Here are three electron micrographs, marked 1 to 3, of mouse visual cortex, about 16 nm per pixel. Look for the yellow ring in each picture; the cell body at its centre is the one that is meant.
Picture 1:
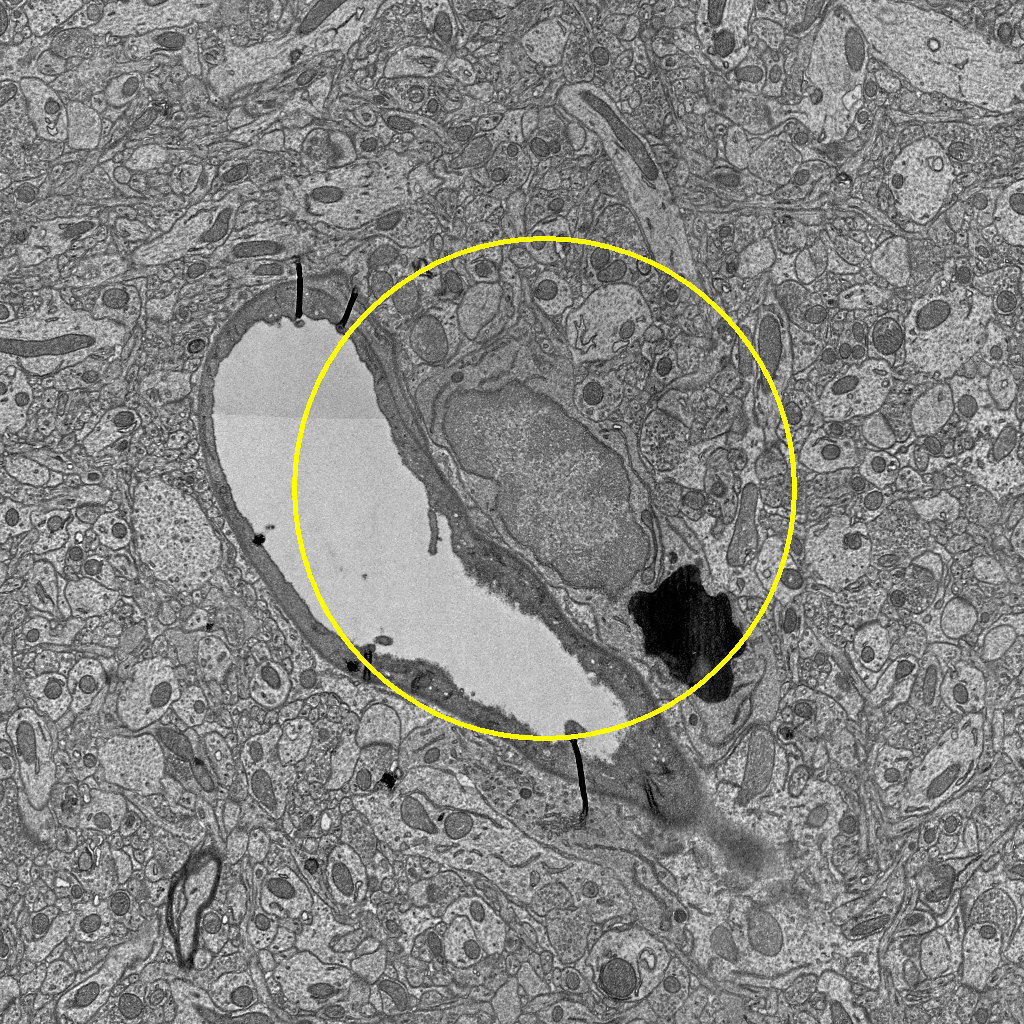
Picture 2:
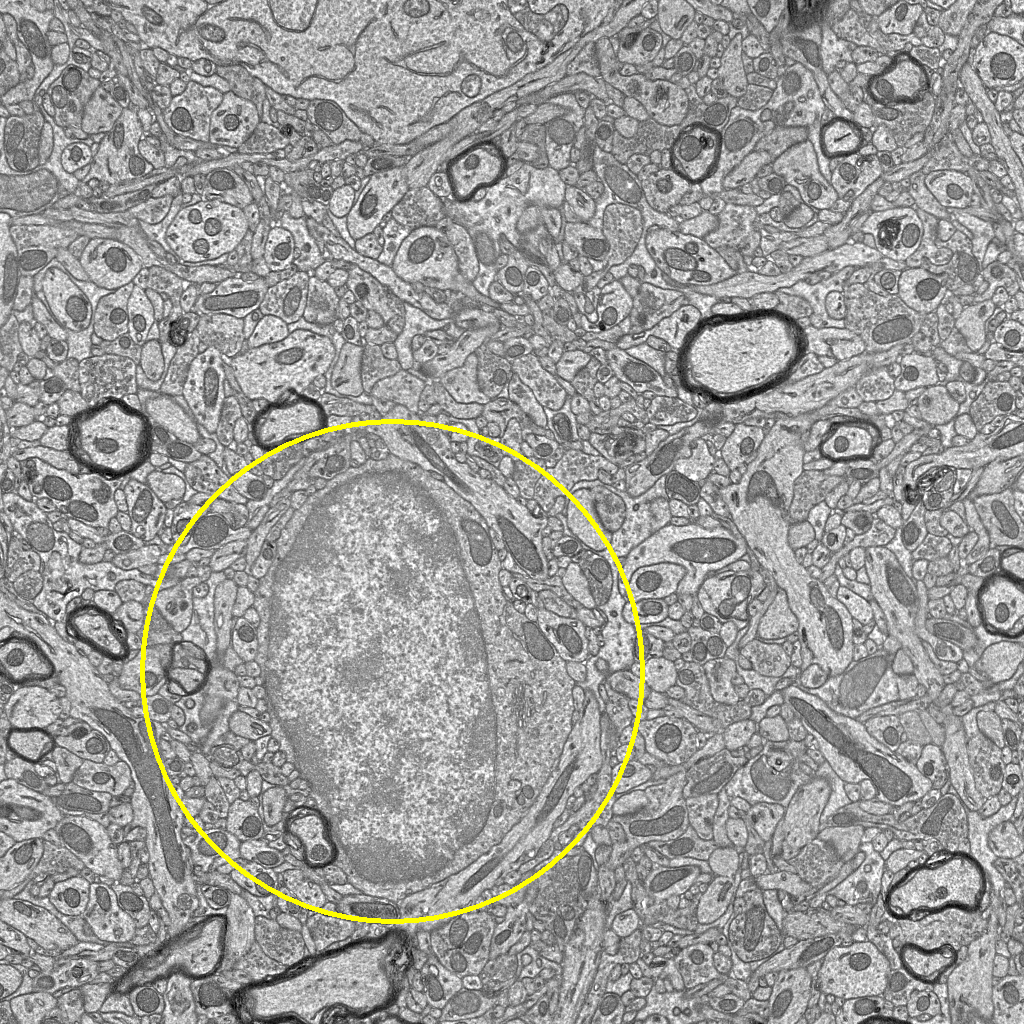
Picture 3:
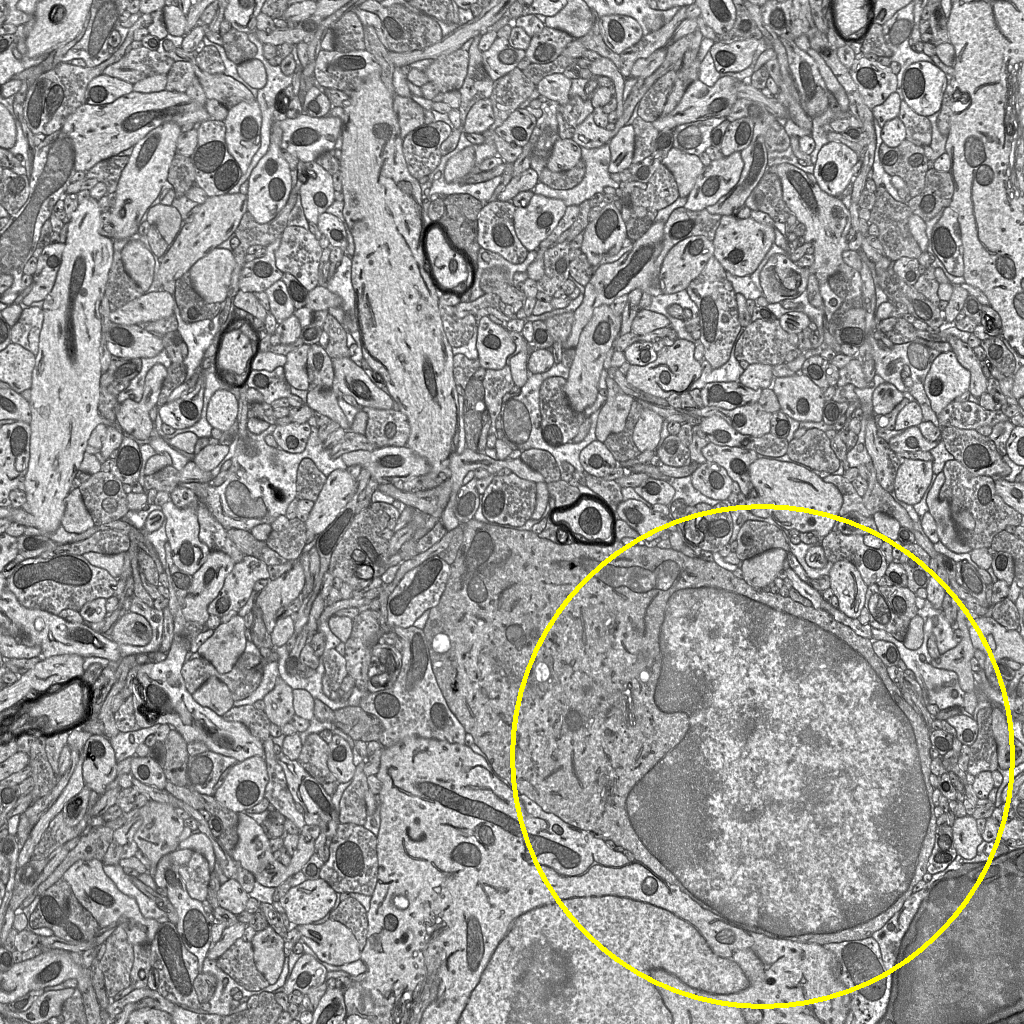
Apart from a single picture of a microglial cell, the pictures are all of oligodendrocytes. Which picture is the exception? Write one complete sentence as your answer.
The picture with the microglial cell is 1.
